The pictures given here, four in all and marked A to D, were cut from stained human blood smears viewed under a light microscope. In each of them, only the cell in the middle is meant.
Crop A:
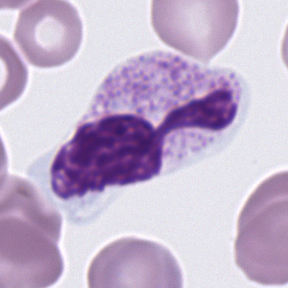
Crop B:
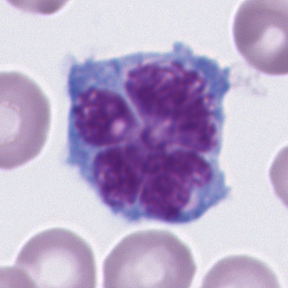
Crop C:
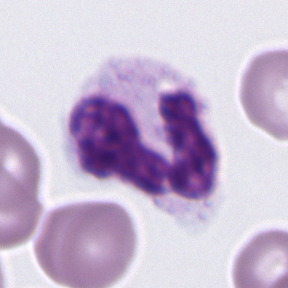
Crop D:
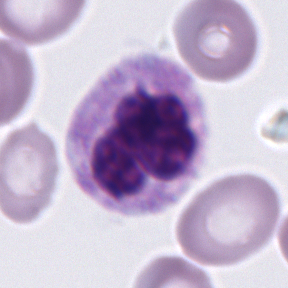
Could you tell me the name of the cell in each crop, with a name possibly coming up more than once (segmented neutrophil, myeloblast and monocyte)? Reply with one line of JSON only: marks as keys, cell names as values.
{"A": "segmented neutrophil", "B": "monocyte", "C": "segmented neutrophil", "D": "segmented neutrophil"}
